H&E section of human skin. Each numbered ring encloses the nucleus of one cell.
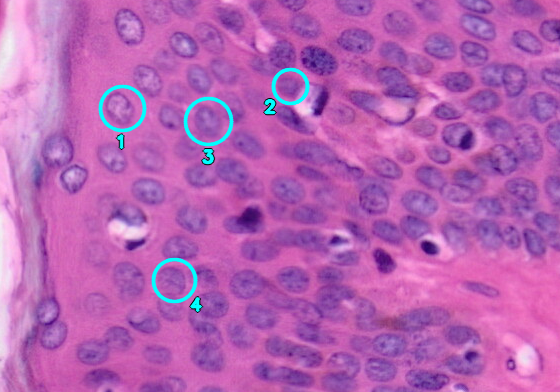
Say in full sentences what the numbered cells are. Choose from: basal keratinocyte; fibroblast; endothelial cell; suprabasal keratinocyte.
Cells 1, 3 and 4 are suprabasal keratinocytes. Cell 2 is a basal keratinocyte.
